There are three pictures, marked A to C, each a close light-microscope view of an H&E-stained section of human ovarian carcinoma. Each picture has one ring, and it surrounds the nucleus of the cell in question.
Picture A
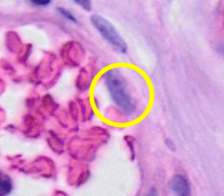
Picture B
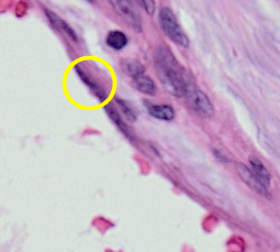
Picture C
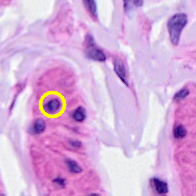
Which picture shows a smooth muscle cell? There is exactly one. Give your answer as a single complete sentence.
Picture C shows the smooth muscle cell.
